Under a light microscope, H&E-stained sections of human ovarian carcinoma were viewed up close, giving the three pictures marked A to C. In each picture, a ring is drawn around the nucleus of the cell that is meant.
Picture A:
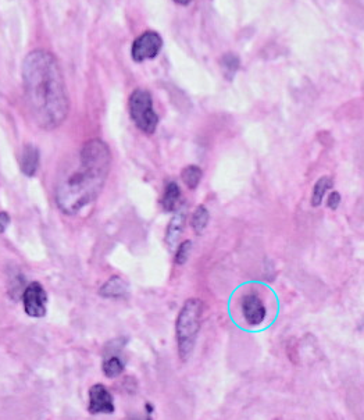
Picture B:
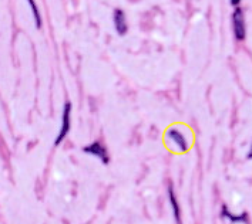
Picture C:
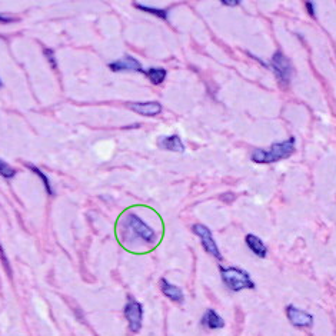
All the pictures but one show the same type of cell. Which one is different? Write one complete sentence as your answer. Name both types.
The different one is picture A; it shows a lymphocyte, whereas all the others show fibroblasts.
